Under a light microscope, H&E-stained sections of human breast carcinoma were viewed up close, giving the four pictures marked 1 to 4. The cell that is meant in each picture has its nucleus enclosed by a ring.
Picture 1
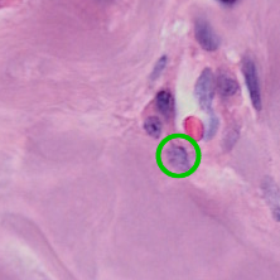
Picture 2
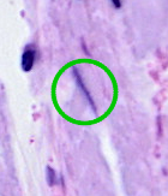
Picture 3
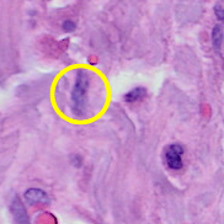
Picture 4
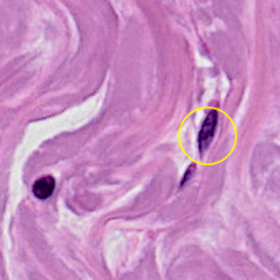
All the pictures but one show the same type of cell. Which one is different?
1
